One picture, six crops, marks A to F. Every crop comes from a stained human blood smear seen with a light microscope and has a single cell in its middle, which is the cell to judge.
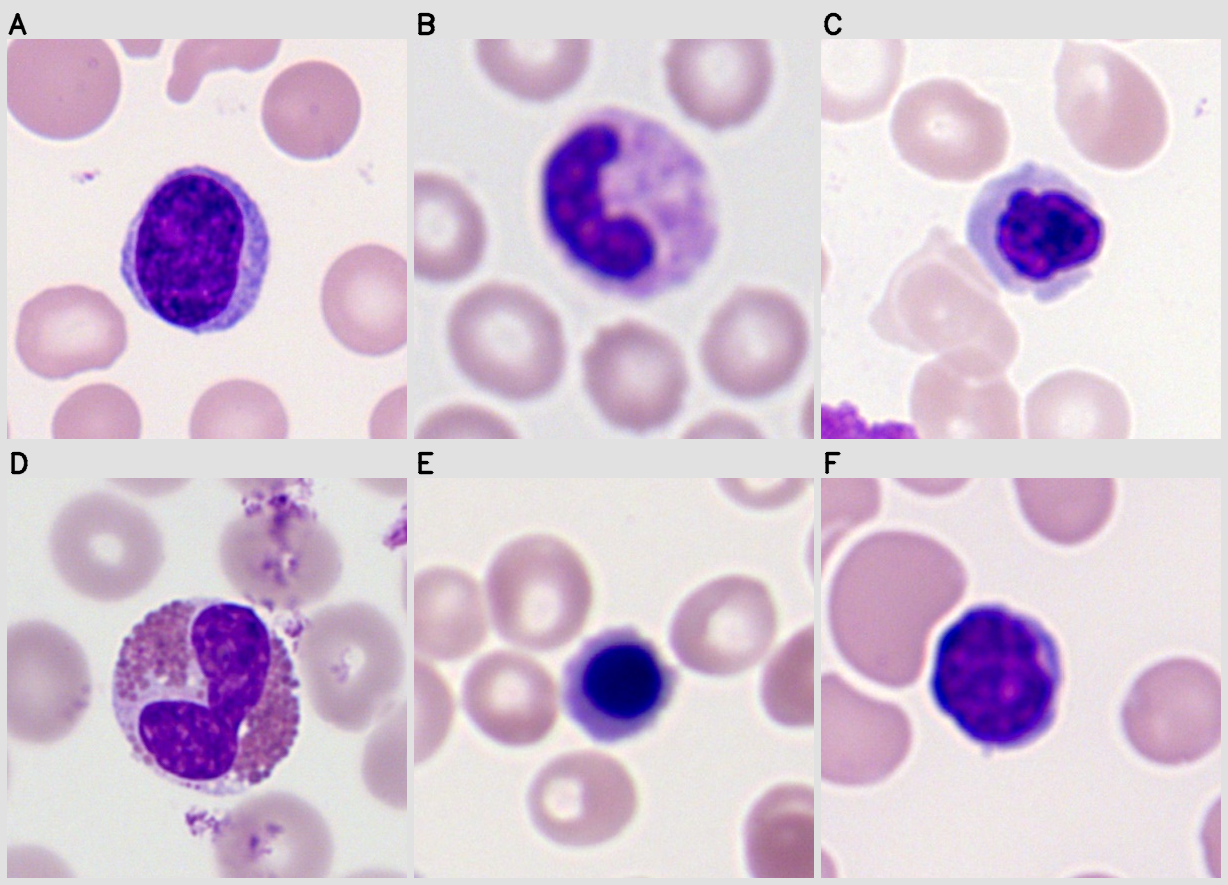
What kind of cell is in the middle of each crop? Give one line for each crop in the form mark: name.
A: lymphocyte
B: band neutrophil
C: erythroblast
D: eosinophil
E: erythroblast
F: lymphocyte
